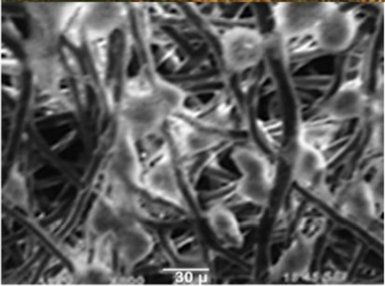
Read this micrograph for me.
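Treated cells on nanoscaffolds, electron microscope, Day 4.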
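This electron micrograph shows cells growing within a dense mesh of scaffold fibers. Cell bodies appear as lighter, rounded to flattened masses draped over and wrapped around the fibers. Some cells spread thin sheets of cytoplasm across several fibers, while others are more rounded and sit on top of the mesh. The cells lie both on the surface and between fibers, appearing to have moved into the network.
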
